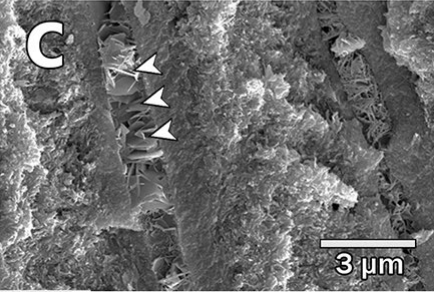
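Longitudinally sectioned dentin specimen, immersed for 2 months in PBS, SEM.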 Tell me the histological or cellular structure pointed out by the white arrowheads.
Plate-shaped crystals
